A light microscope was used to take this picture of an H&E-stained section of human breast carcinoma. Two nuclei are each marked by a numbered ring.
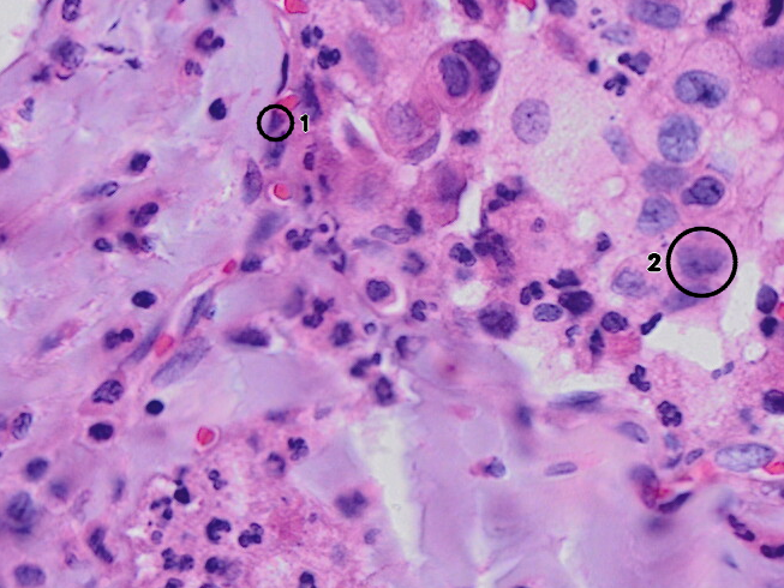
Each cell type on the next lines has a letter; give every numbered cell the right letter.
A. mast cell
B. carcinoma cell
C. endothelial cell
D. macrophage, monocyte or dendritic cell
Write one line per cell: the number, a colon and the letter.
1: C
2: B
